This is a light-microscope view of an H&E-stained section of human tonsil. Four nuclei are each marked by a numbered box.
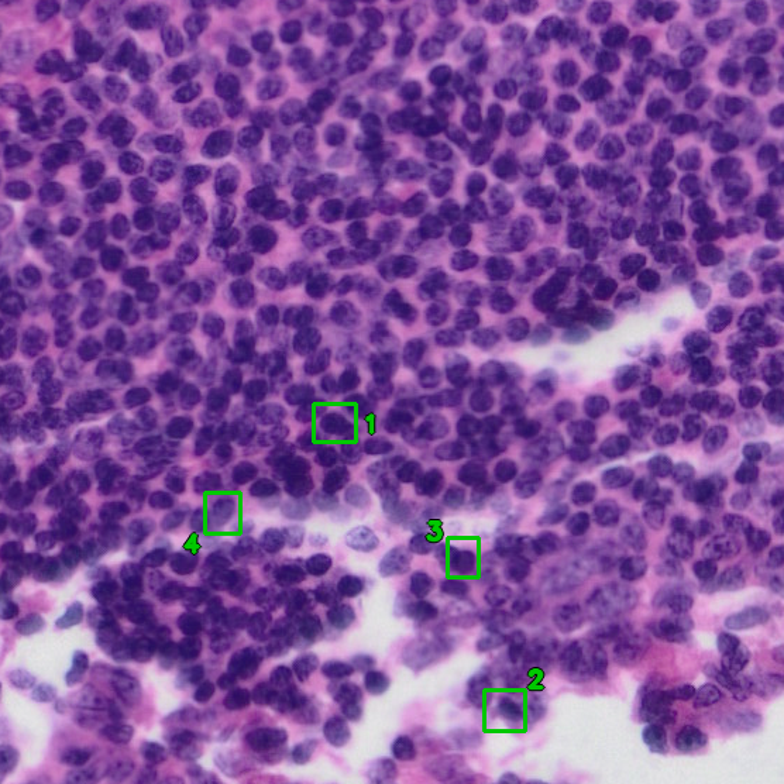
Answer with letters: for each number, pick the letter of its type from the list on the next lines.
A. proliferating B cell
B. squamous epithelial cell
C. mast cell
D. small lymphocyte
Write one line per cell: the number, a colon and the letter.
1: D
2: A
3: D
4: D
